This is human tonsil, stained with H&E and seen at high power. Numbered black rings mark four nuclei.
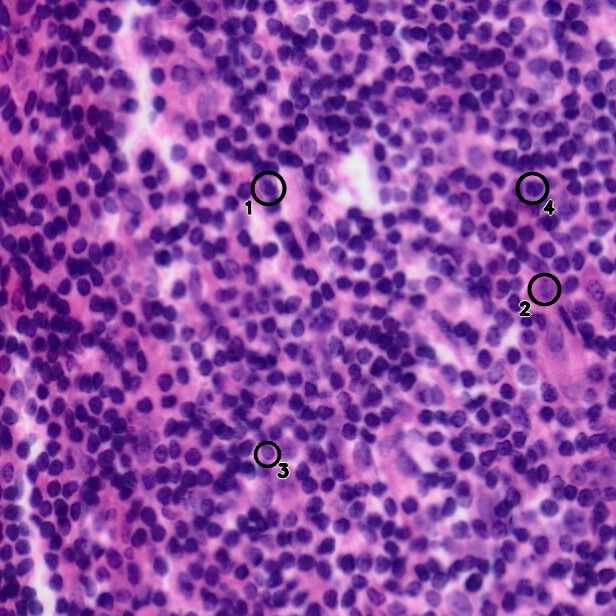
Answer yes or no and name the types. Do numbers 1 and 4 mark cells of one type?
Yes, both are small lymphocytes.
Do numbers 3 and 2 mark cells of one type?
No, cell 3 is a small lymphocyte and cell 2 is an endothelial cell.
